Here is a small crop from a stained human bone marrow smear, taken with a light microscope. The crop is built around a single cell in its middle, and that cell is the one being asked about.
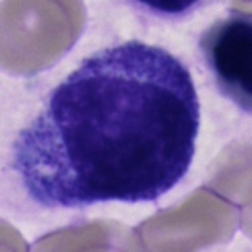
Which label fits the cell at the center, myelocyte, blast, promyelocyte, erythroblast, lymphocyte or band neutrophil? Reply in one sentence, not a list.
The center cell of this crop is a promyelocyte.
